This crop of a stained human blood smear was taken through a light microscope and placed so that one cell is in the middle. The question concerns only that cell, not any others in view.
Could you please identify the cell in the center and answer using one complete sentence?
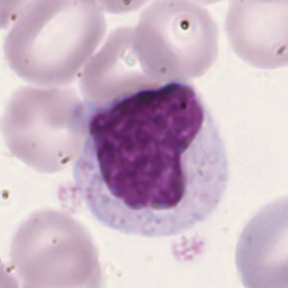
The cell centred in this crop is categorized as a metamyelocyte.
